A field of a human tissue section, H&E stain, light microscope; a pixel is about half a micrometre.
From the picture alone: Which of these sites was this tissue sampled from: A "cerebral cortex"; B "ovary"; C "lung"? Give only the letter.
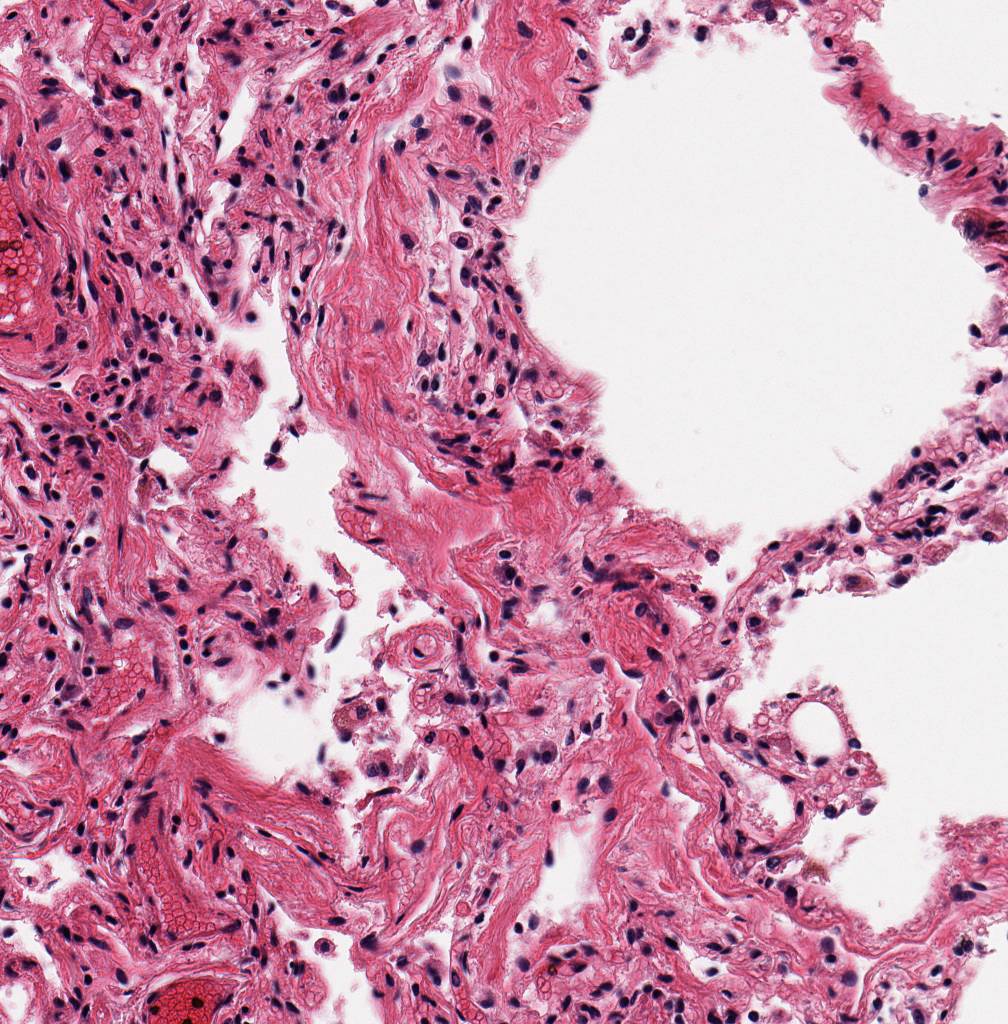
C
